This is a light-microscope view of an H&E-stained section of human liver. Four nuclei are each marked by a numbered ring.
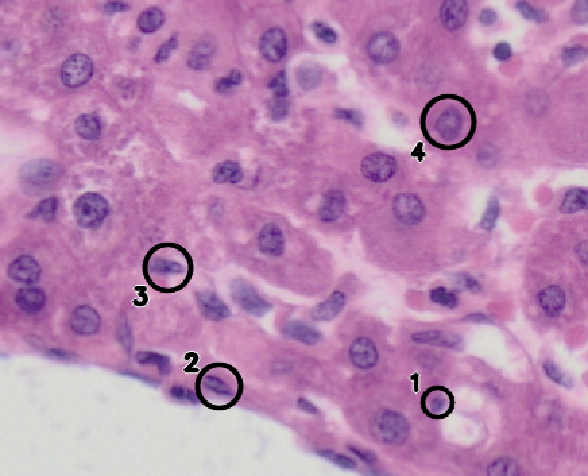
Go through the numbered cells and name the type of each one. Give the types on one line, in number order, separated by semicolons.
fibroblast or stellate cell; fibroblast or stellate cell; fibroblast or stellate cell; hepatocyte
